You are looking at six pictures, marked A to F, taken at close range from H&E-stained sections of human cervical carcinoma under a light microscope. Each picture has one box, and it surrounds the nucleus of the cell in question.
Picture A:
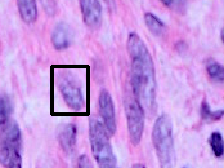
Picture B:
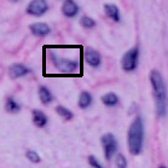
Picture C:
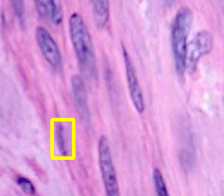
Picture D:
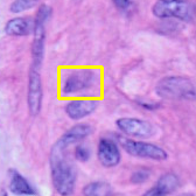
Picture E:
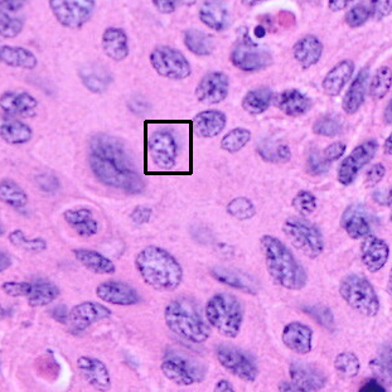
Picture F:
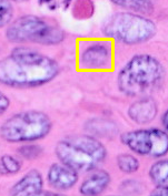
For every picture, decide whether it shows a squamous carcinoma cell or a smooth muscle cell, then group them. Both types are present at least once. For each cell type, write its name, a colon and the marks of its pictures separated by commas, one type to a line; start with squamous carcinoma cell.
squamous carcinoma cell: E, F
smooth muscle cell: A, B, C, D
